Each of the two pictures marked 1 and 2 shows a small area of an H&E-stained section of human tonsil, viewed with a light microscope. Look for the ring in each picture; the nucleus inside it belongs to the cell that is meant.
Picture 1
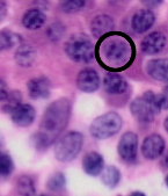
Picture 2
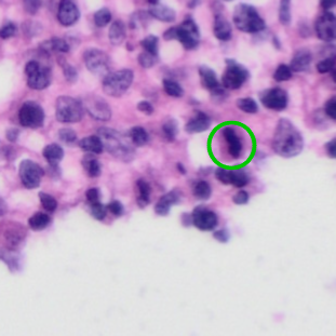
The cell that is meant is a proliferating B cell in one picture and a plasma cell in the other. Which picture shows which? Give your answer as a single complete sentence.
It is picture 1 that shows a plasma cell, and picture 2 that shows a proliferating B cell.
